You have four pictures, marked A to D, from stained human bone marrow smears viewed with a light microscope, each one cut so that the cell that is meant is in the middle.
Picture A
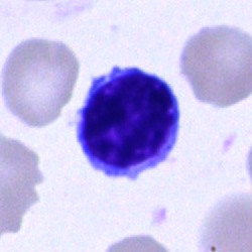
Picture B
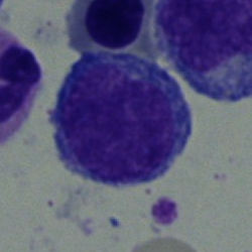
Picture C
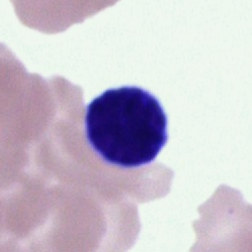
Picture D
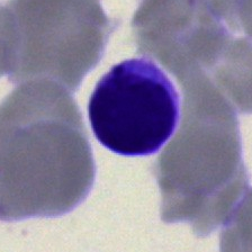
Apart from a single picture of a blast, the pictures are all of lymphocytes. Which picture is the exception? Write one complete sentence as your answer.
Picture B shows the blast.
